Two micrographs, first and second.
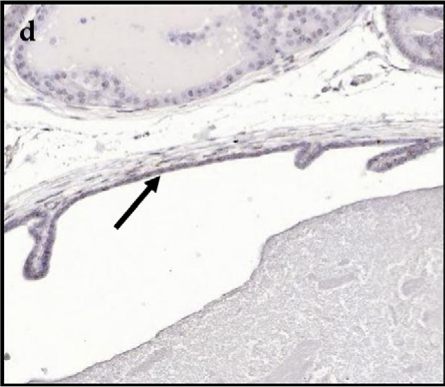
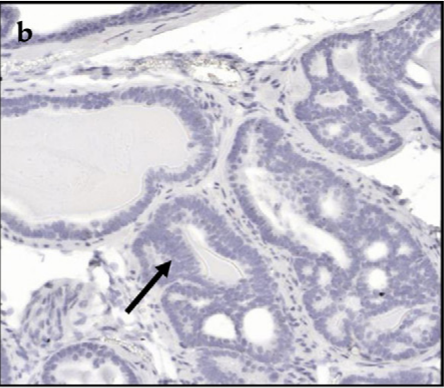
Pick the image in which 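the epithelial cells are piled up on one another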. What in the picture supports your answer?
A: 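The second image. First image: the gland lining is a thin single row of cells. Second image: the gland epithelium is several cells thick and crowded, with small lumens inside it.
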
